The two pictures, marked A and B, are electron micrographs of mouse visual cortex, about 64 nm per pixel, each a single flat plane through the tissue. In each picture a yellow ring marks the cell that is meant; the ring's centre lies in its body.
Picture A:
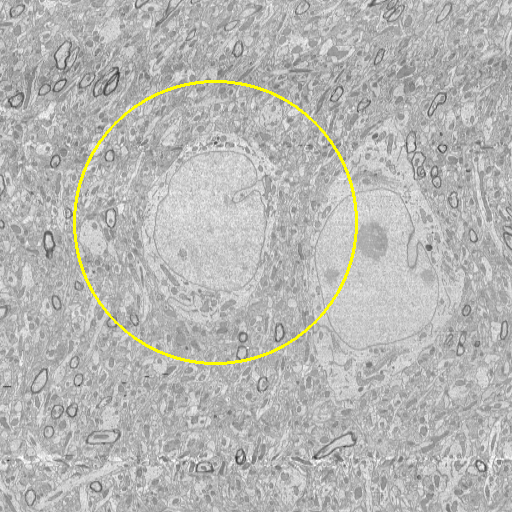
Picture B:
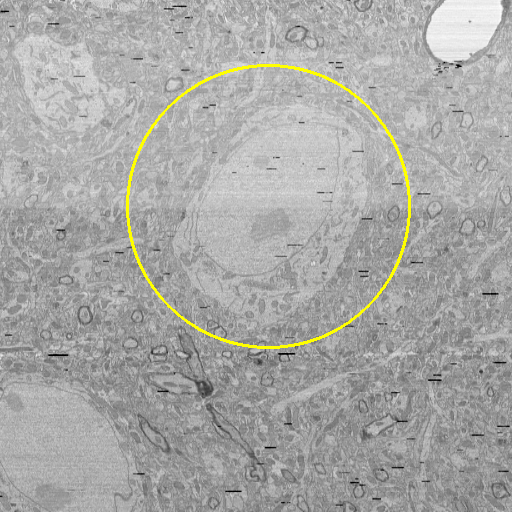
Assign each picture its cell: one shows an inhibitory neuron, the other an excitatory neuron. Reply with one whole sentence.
Picture A is of an inhibitory neuron, and picture B is of an excitatory neuron.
